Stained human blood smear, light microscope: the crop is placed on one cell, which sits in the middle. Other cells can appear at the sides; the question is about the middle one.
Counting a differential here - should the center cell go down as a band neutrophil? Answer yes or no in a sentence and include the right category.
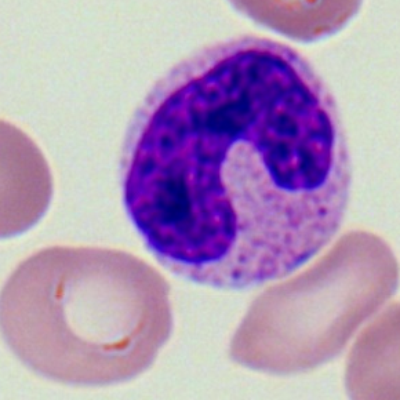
Yes, this central cell is a band neutrophil.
